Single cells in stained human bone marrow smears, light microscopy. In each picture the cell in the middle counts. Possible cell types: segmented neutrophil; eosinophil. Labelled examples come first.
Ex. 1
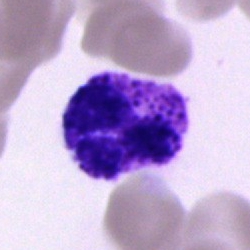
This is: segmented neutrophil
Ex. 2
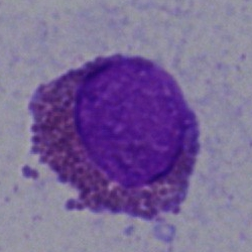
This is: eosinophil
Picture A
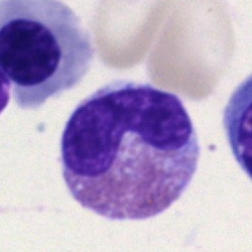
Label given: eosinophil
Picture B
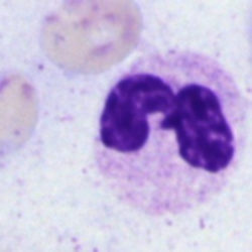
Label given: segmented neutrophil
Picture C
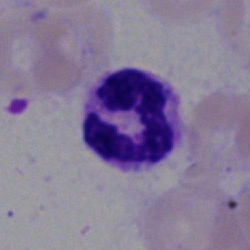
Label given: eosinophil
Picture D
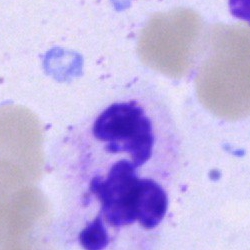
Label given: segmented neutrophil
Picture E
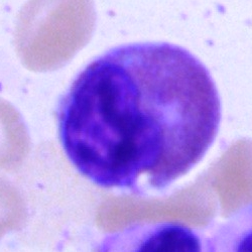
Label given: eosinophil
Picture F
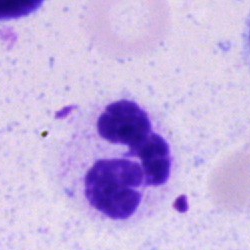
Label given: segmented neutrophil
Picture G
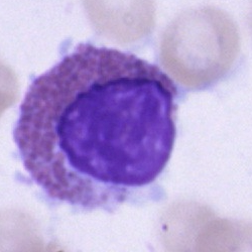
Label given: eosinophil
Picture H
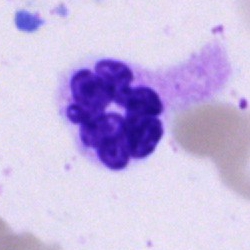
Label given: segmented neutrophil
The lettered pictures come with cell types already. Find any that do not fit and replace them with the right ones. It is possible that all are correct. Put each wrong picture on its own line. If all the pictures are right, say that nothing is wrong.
C: change eosinophil to segmented neutrophil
